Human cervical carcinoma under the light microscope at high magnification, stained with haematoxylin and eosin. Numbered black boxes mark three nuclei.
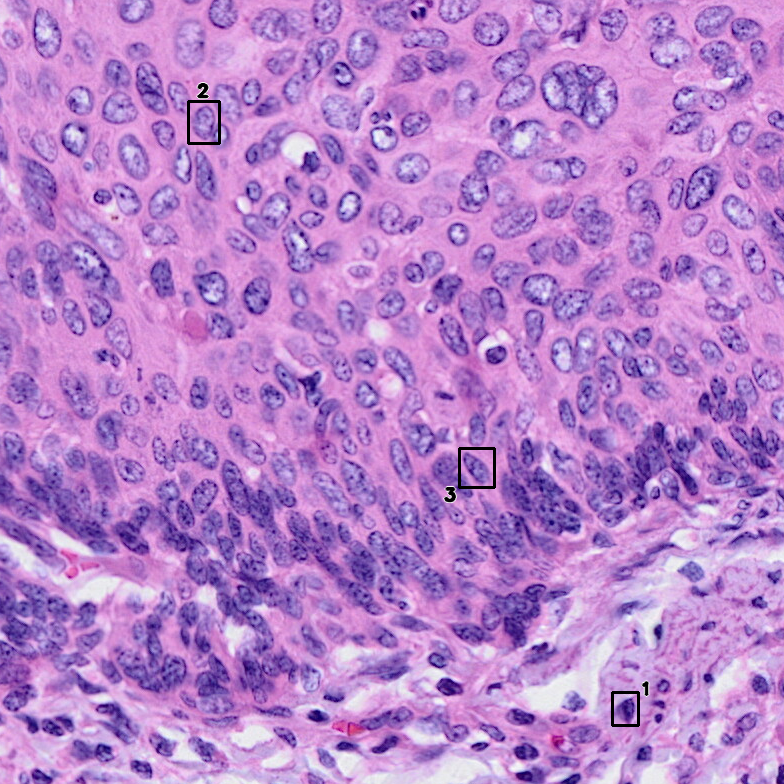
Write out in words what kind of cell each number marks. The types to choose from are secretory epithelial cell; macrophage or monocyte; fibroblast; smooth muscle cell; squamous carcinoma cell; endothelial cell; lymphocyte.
Cell 1 is a lymphocyte. Cells 2 and 3 are squamous carcinoma cells.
